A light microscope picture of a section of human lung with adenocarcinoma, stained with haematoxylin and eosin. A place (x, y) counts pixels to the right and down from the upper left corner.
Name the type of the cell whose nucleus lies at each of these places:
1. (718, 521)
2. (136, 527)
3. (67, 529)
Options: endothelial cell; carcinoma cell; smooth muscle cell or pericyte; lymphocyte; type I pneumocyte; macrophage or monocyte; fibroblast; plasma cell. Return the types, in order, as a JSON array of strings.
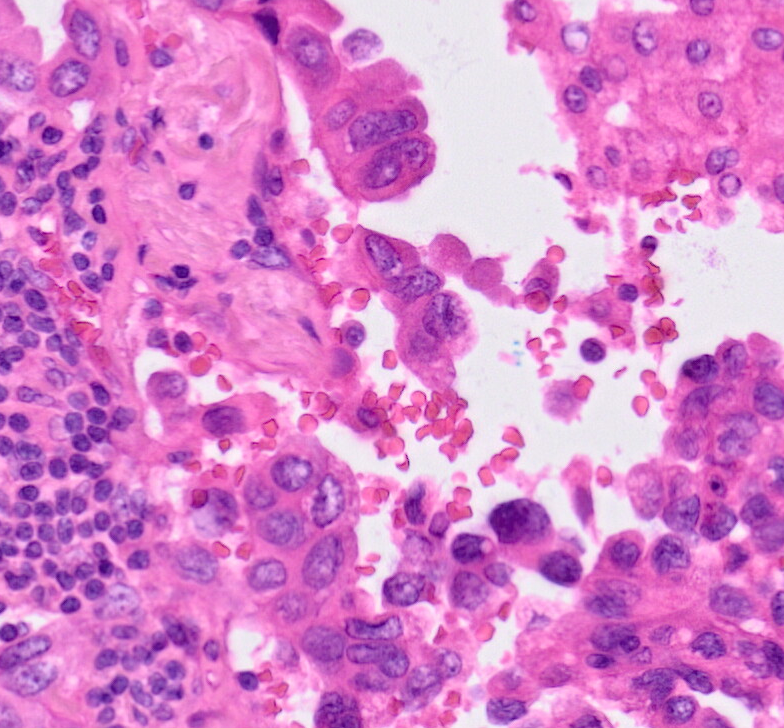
["carcinoma cell", "lymphocyte", "lymphocyte"]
